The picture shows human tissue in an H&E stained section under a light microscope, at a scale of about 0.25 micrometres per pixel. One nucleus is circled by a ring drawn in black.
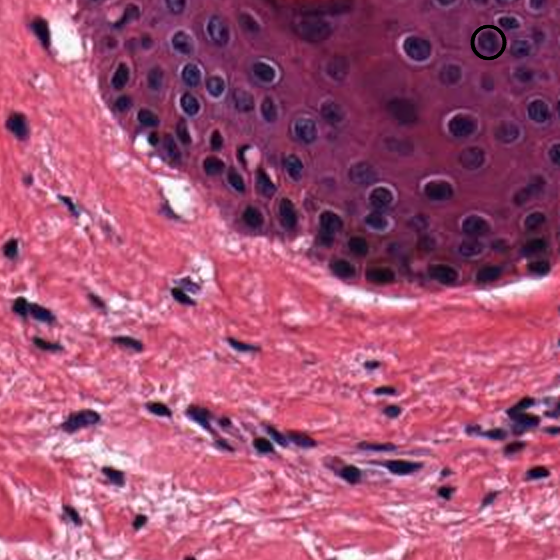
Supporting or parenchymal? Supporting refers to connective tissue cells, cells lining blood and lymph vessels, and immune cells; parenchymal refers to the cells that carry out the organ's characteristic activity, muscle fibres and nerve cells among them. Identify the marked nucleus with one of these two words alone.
parenchymal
